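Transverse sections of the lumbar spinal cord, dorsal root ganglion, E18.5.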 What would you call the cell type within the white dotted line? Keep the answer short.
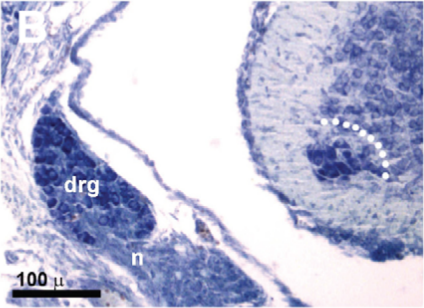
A: Motoneurons.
